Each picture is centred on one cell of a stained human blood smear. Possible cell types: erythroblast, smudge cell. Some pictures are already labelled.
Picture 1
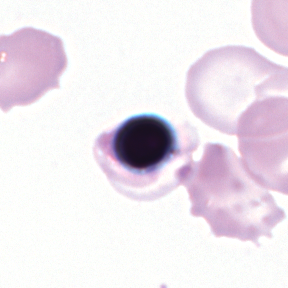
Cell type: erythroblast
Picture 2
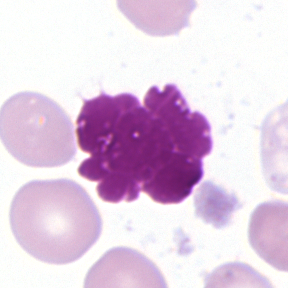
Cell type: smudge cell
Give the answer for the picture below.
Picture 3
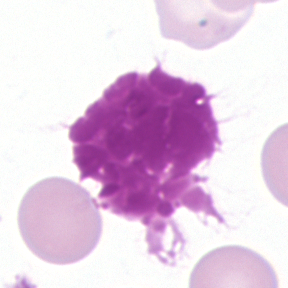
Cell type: smudge cell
